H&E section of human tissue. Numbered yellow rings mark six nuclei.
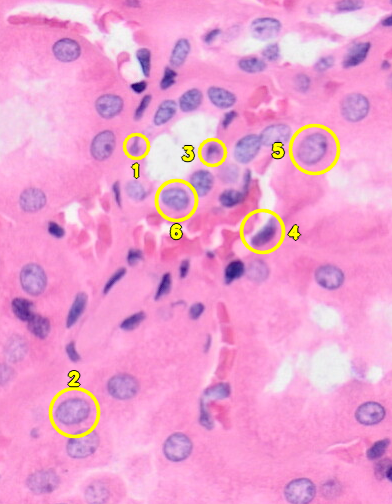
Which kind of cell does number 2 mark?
proximal tubule cell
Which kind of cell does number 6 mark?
collecting duct cell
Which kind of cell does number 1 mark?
collecting duct cell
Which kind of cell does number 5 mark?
proximal tubule cell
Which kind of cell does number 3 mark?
collecting duct cell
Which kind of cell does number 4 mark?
endothelial cell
